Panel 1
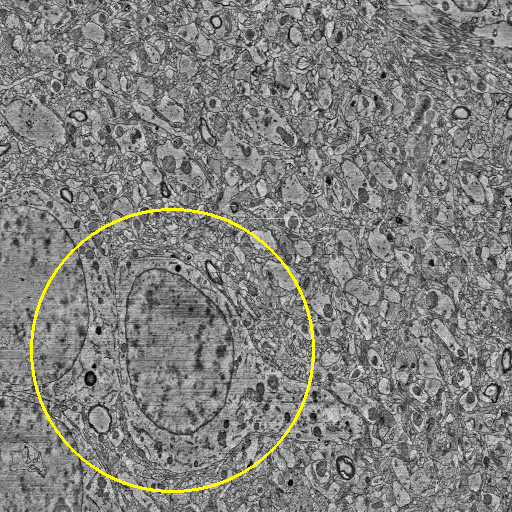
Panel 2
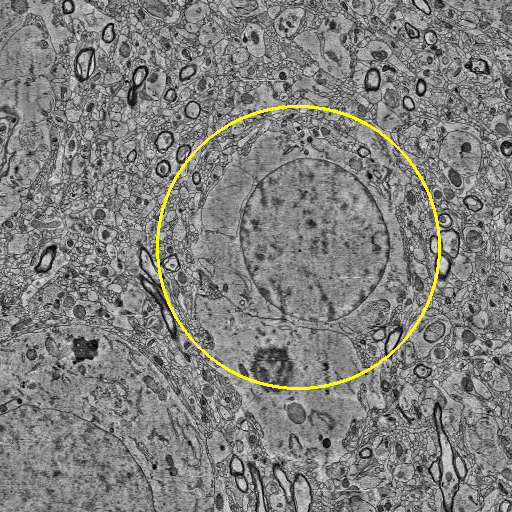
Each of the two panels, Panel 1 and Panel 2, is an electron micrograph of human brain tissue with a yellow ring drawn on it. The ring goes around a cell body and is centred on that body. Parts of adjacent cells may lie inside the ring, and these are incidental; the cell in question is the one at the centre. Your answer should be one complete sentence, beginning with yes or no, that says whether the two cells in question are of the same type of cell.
No, the two cells are of two types.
